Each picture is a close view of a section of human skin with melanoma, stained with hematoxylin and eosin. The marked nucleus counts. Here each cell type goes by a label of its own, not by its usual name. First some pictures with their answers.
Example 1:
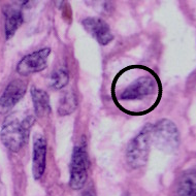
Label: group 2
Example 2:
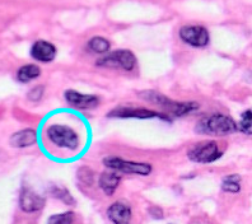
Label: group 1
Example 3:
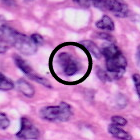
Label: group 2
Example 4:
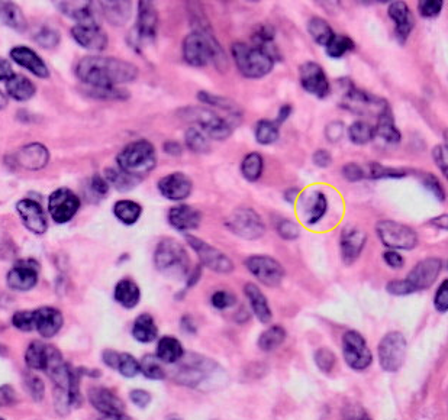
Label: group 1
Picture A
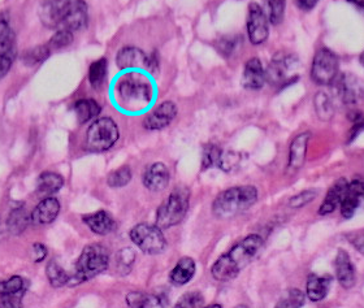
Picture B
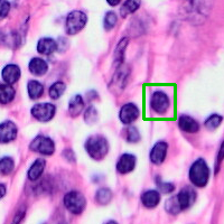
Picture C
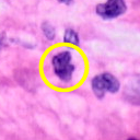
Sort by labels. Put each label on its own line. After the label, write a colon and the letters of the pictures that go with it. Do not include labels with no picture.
group 2: A
group 1: B, C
